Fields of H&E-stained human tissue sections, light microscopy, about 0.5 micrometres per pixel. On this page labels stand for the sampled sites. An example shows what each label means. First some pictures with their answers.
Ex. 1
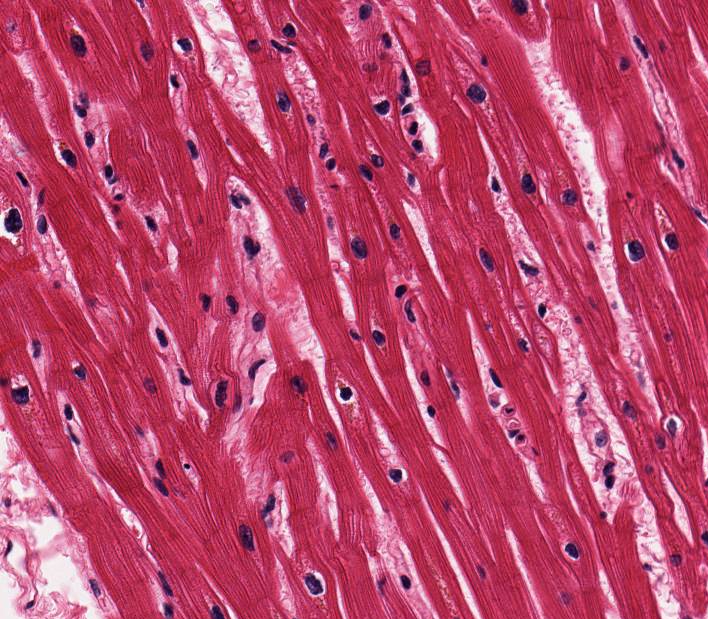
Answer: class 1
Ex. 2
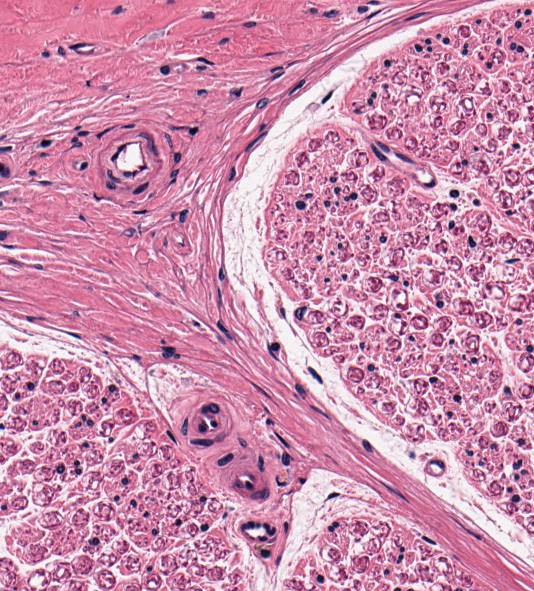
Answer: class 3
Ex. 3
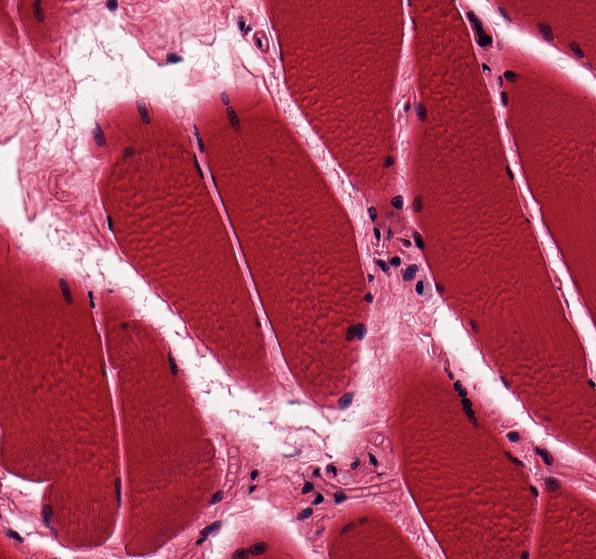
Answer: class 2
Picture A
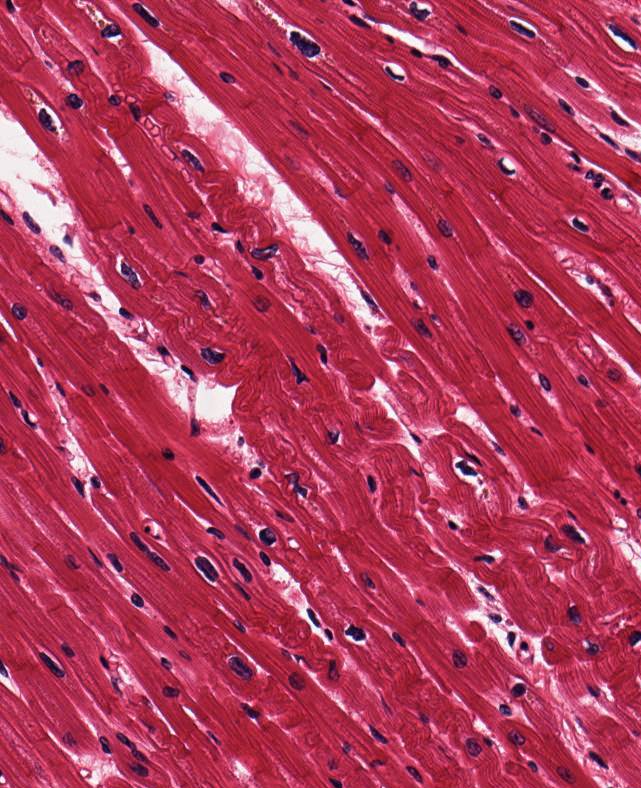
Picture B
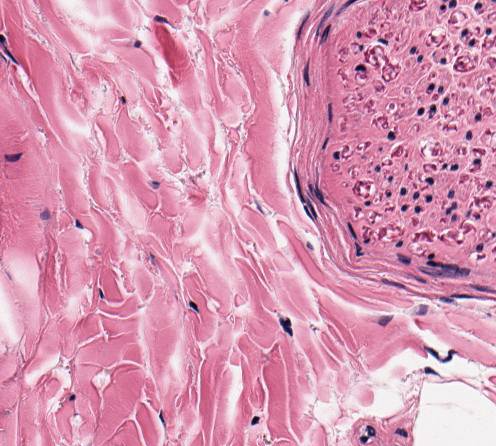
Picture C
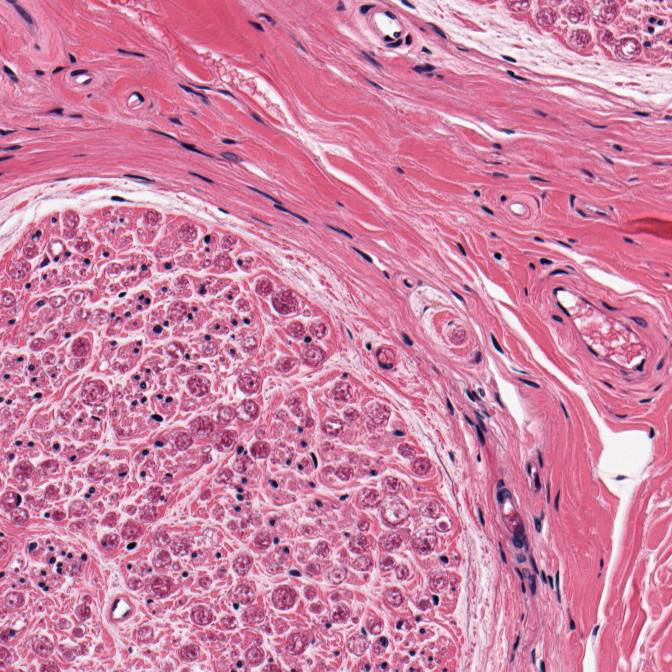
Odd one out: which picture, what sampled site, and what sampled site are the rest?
Different: A, class 1. Others: class 3.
